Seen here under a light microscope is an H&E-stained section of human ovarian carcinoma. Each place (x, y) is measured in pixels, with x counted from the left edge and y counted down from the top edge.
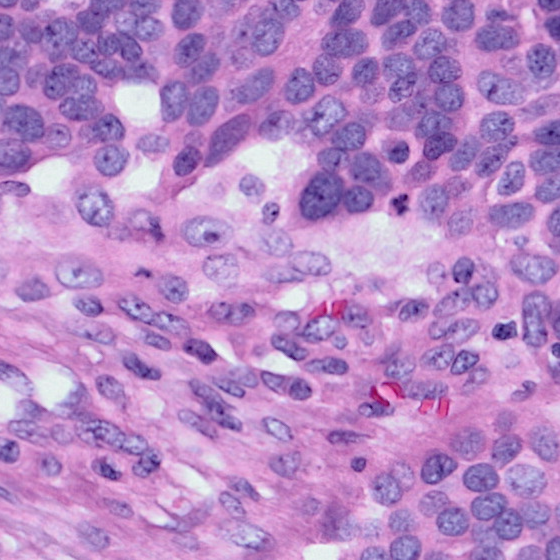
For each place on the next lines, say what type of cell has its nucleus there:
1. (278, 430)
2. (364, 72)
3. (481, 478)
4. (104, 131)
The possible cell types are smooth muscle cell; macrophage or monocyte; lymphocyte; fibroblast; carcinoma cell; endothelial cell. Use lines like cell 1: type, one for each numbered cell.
cell 1: fibroblast
cell 2: carcinoma cell
cell 3: carcinoma cell
cell 4: carcinoma cell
